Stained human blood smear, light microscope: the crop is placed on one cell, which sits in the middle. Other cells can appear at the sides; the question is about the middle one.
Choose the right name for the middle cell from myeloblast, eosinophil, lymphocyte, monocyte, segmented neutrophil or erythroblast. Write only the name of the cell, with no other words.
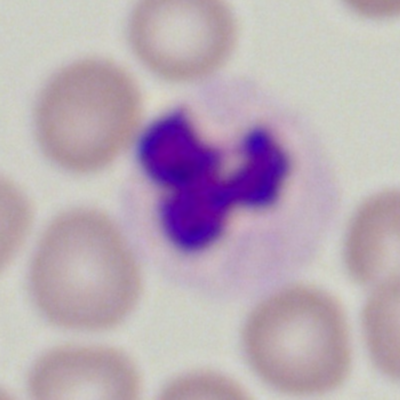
segmented neutrophil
